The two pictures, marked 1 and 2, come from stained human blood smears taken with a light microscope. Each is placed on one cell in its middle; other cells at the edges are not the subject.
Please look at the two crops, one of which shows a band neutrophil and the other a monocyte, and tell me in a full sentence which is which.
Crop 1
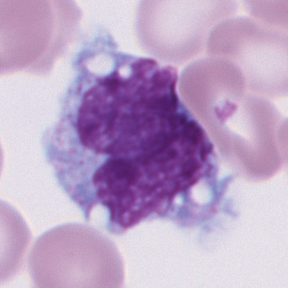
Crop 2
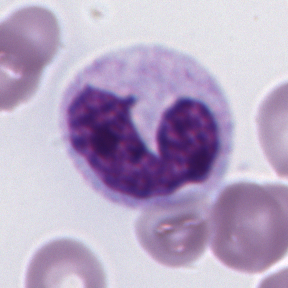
The cell in crop 1 is a monocyte; the cell in crop 2 is a band neutrophil.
